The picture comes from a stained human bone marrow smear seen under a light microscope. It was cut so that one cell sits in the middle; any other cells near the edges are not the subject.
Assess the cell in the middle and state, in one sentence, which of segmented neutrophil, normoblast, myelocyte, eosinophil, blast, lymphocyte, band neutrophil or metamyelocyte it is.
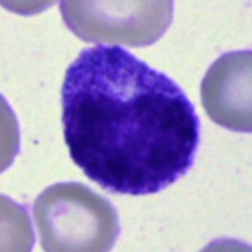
In the crop, the cell of interest at the centre is a metamyelocyte.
